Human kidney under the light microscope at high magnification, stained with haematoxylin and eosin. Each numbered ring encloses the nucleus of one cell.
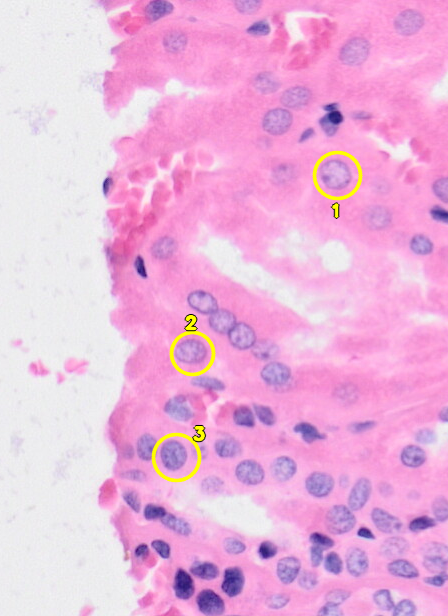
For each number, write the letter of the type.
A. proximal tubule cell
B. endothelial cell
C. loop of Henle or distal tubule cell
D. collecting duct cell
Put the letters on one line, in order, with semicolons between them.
A; A; D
